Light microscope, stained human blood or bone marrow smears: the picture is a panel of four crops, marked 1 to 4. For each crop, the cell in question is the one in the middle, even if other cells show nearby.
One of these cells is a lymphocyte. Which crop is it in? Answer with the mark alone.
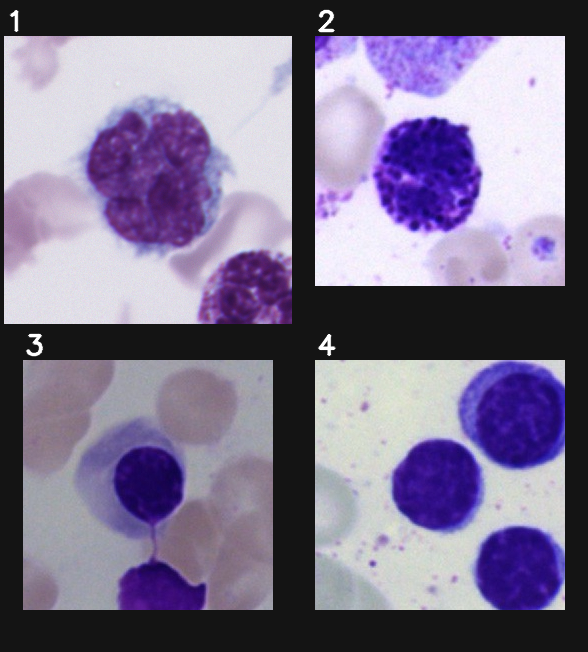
4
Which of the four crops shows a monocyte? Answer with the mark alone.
1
